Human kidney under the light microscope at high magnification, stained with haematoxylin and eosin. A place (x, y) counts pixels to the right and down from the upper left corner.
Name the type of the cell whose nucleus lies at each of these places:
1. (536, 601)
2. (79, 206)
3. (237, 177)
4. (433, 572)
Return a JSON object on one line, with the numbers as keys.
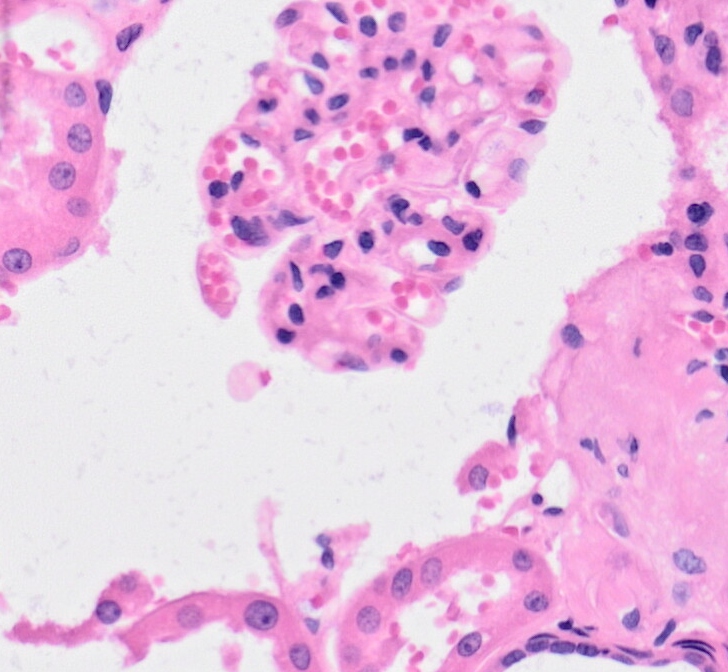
{"1": "proximal tubule cell", "2": "proximal tubule cell", "3": "endothelial cell", "4": "proximal tubule cell"}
